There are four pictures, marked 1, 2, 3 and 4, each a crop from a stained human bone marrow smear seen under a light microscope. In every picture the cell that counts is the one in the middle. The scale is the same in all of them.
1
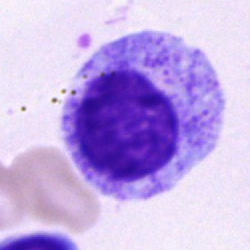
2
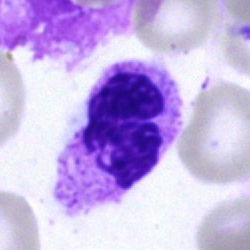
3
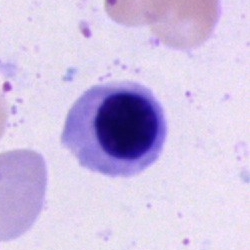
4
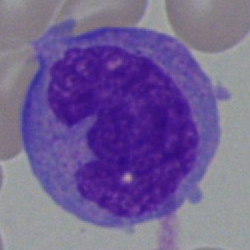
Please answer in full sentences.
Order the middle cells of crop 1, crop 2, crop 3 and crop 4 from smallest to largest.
From the smallest up, the order is 3, 2, 1, 4.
